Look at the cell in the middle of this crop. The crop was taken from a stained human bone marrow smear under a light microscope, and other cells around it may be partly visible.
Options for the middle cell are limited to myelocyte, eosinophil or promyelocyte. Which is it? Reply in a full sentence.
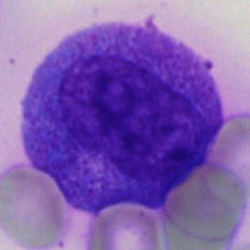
The cell under consideration, at the middle of the crop, is a promyelocyte.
